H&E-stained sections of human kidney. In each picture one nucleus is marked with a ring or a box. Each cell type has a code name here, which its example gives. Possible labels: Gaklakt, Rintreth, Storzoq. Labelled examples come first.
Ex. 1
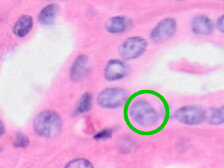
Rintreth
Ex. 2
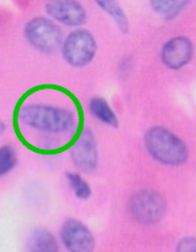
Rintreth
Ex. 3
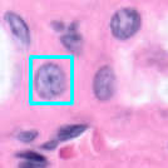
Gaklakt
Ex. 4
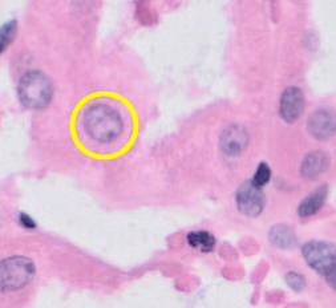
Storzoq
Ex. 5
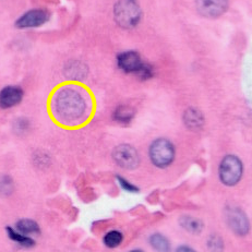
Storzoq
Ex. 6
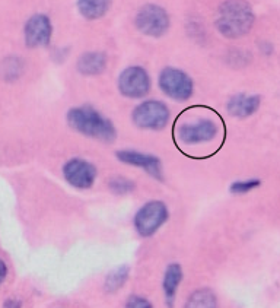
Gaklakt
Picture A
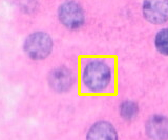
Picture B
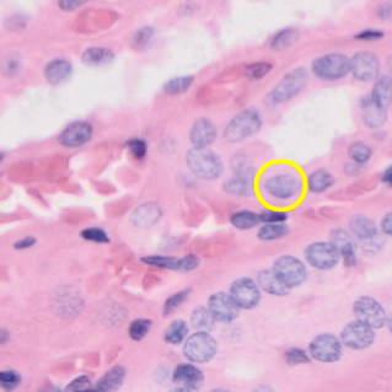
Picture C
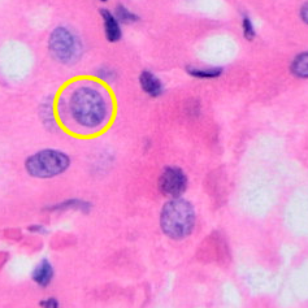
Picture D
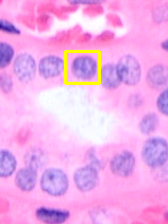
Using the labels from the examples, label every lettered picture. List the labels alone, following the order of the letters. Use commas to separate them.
Storzoq, Rintreth, Storzoq, Rintreth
